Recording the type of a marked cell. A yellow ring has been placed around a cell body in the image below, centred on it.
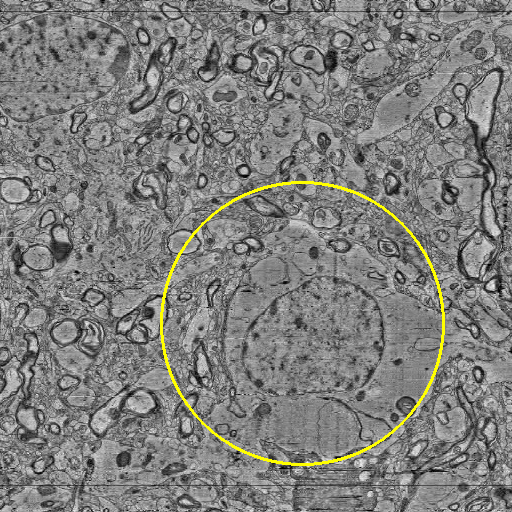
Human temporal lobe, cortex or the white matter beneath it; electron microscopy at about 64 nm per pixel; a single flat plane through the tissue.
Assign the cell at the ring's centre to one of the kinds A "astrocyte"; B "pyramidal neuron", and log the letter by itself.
A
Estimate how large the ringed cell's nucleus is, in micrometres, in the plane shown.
Roughly 10 by 8 micrometres in this plane, for the nucleus of the ringed cell.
